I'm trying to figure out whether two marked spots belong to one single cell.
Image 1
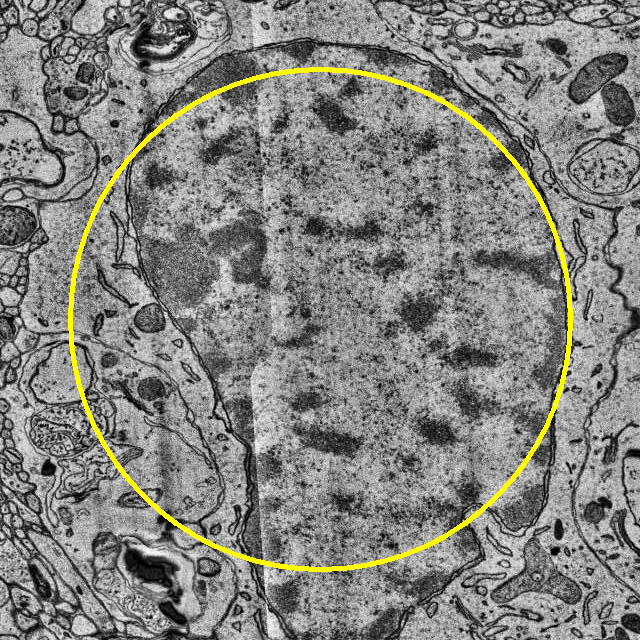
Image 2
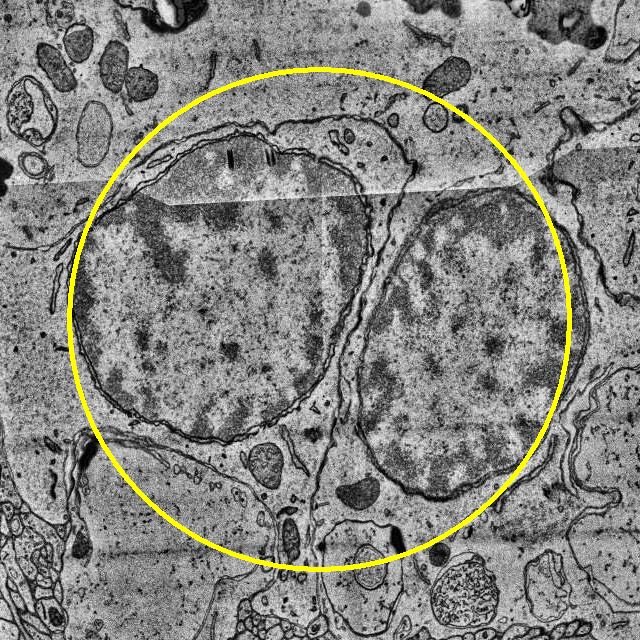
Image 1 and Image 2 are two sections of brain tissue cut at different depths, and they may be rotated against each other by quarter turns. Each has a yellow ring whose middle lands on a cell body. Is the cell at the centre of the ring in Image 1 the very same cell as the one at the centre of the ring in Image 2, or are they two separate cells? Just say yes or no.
yes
